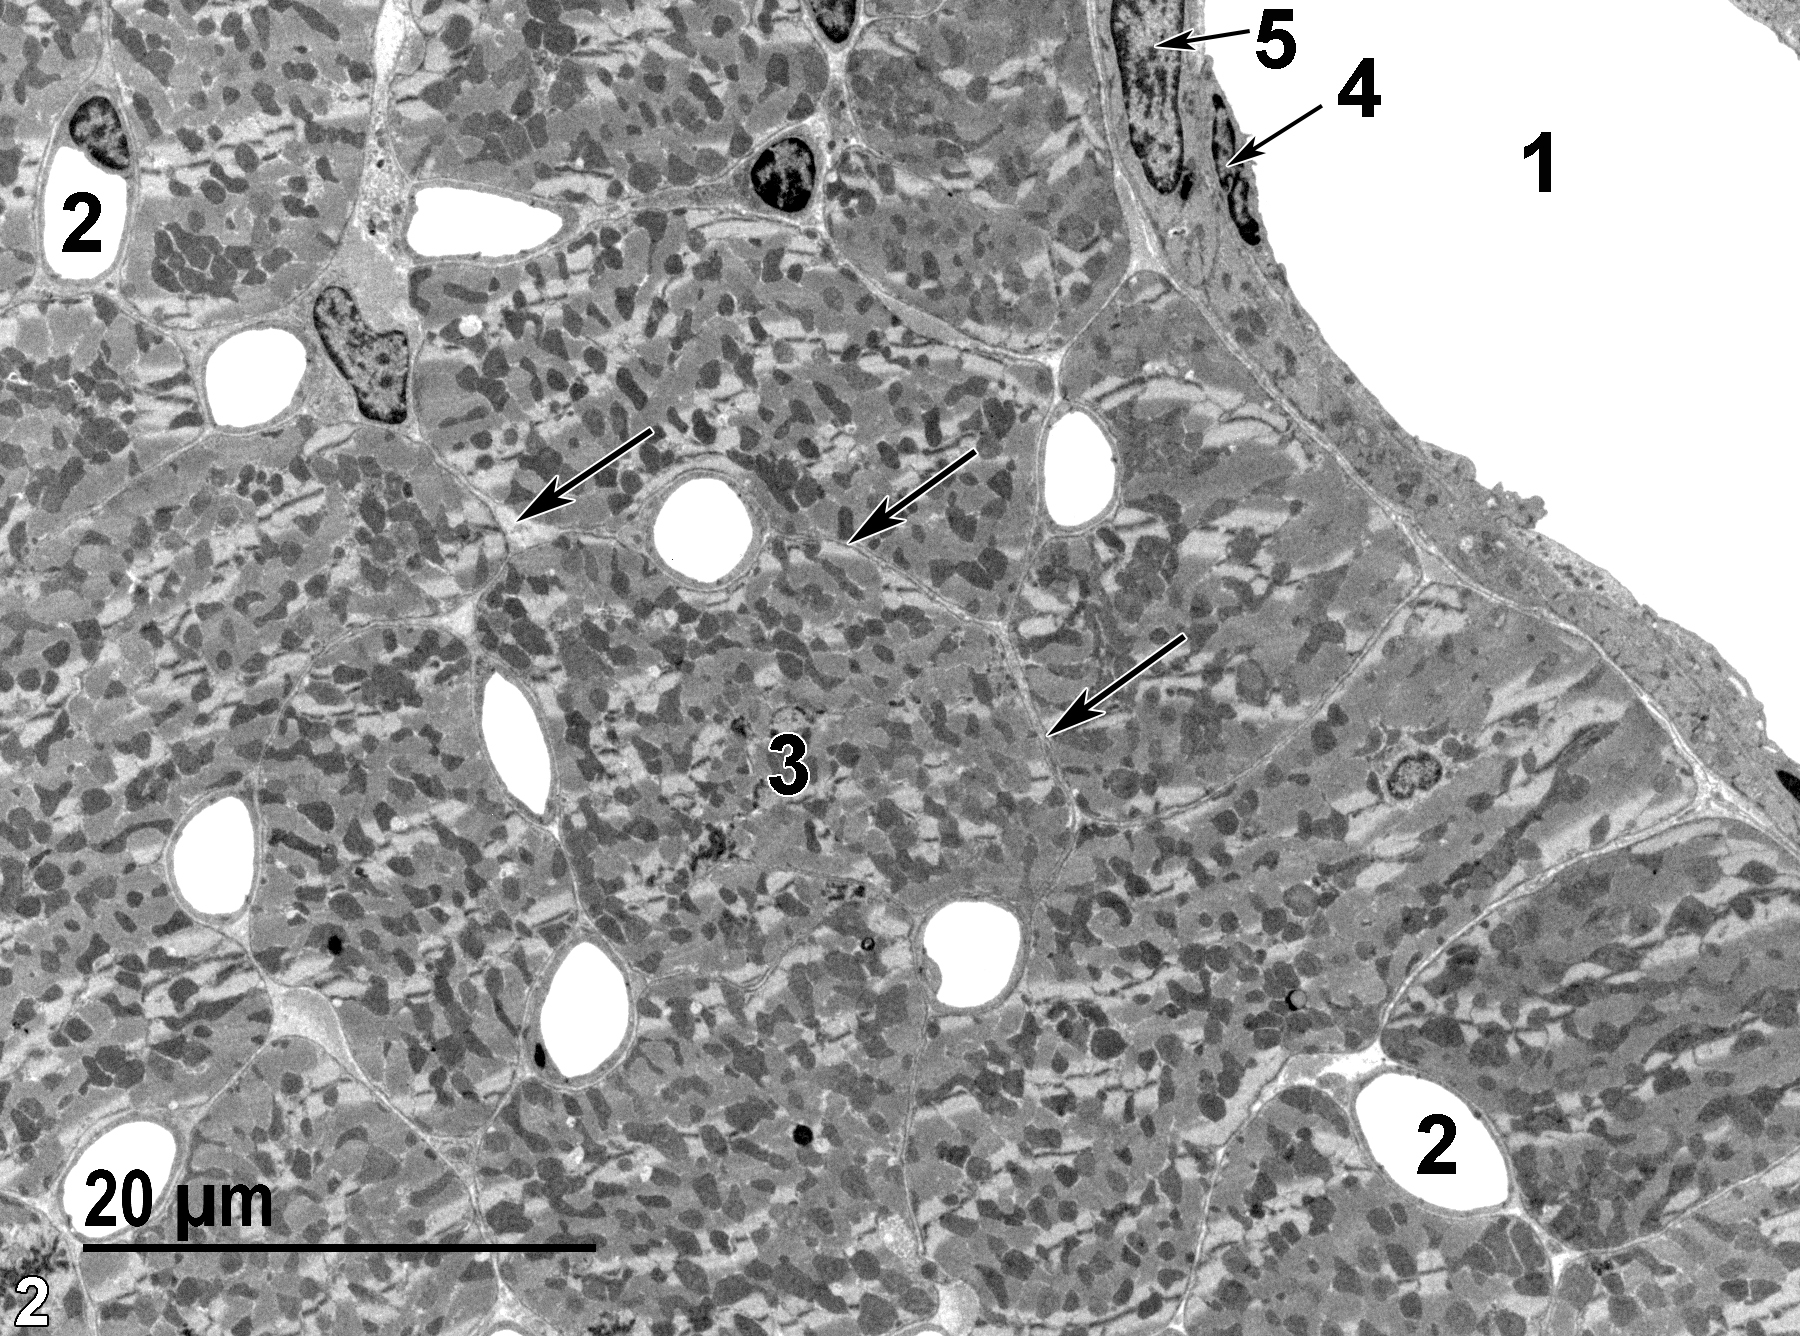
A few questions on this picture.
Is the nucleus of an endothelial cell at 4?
Yes.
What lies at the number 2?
Capillaries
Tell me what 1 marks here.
vein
